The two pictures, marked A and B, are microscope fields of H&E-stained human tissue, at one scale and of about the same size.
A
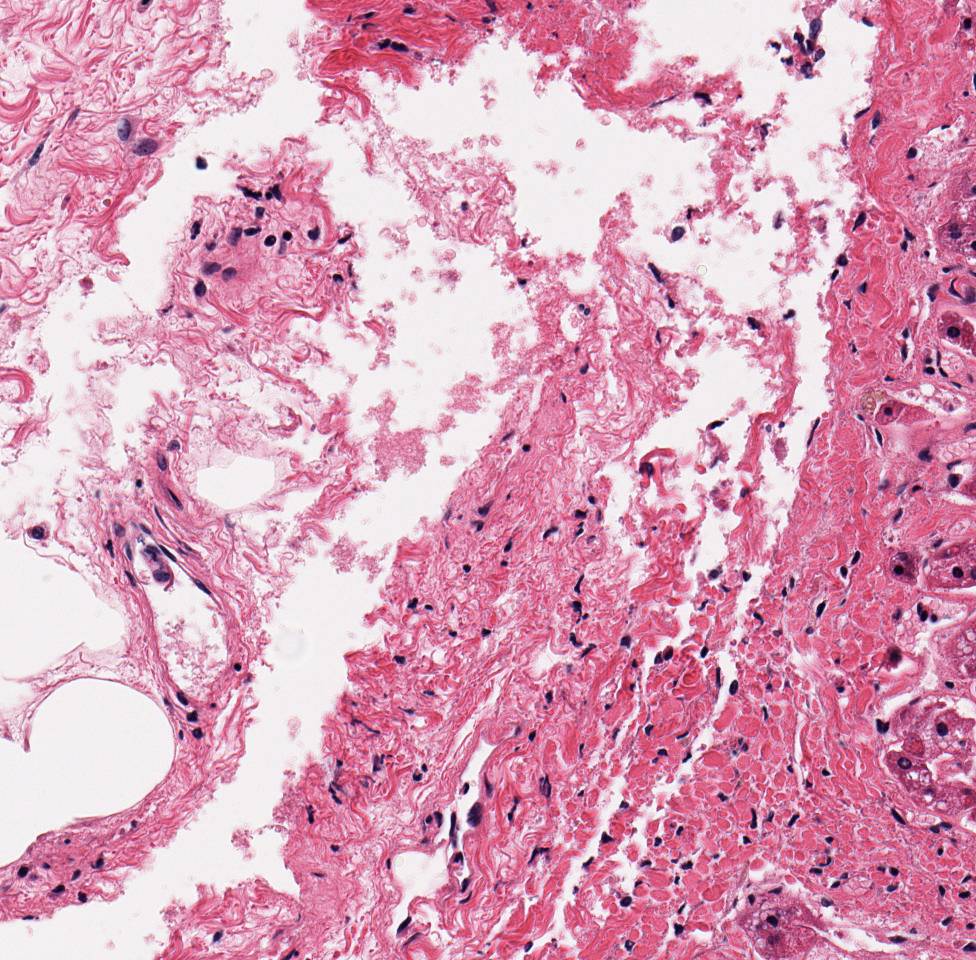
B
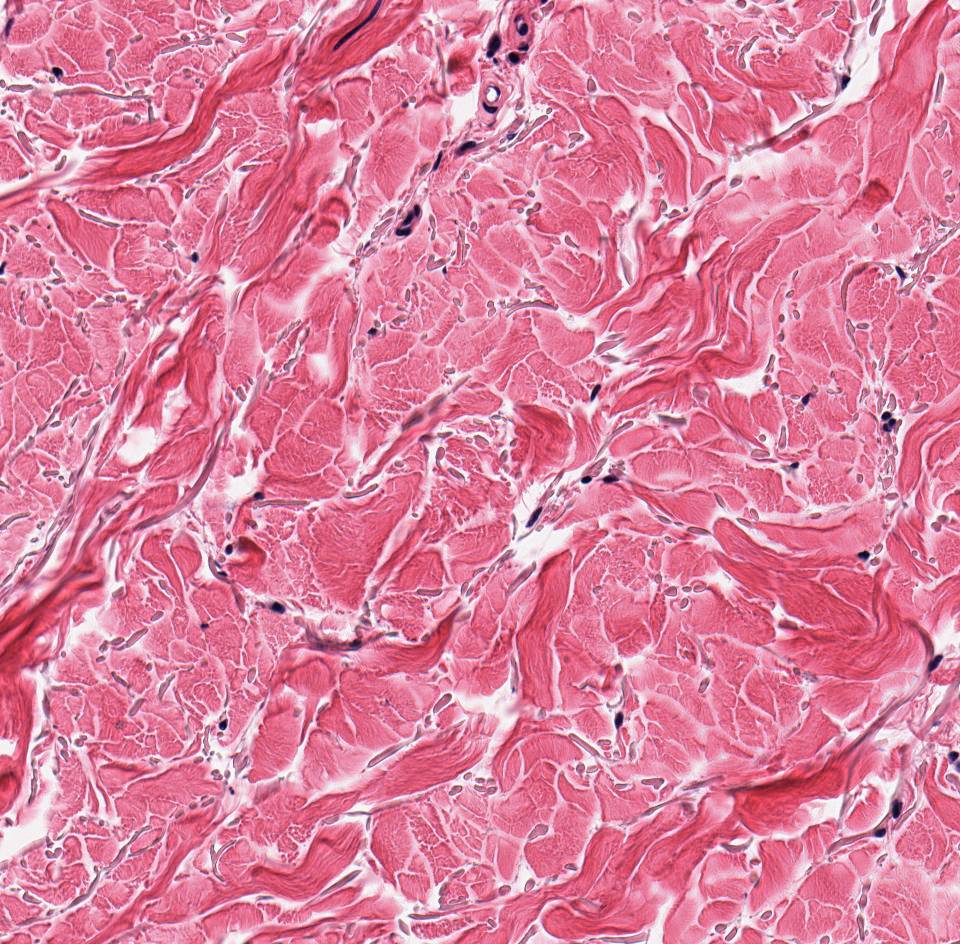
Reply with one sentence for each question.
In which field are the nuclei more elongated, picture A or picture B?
Longer, more slender nuclei lie in picture B.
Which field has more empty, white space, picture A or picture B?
Picture A has more white space.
